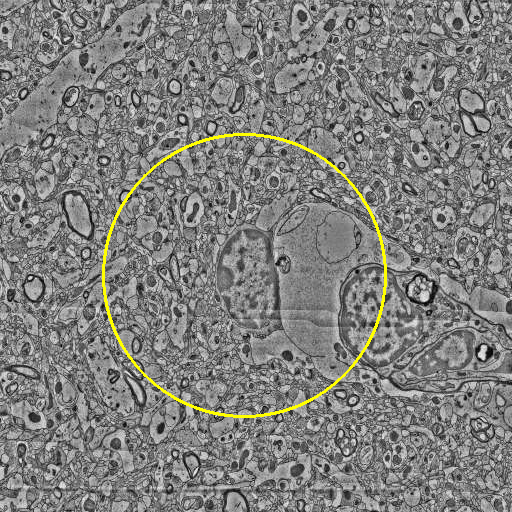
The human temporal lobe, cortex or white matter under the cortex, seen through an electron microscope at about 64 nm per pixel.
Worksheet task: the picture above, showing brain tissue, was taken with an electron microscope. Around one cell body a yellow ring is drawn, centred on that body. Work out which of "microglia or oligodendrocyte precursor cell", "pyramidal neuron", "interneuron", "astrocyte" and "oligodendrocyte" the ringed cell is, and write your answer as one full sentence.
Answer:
It is an oligodendrocyte whose cell body lies at the centre of the yellow ring.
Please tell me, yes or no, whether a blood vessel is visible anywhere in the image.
Yes, a vessel shows somewhere in the image.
